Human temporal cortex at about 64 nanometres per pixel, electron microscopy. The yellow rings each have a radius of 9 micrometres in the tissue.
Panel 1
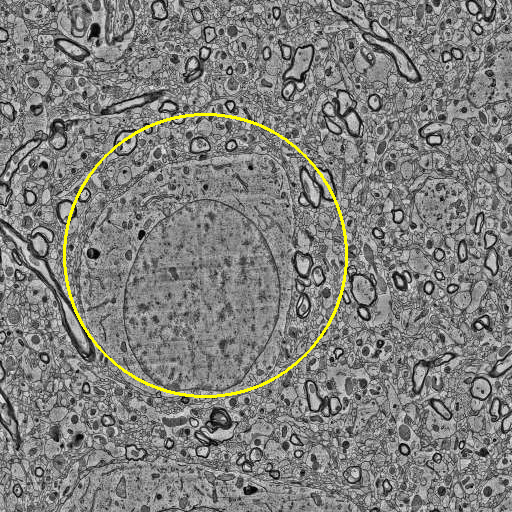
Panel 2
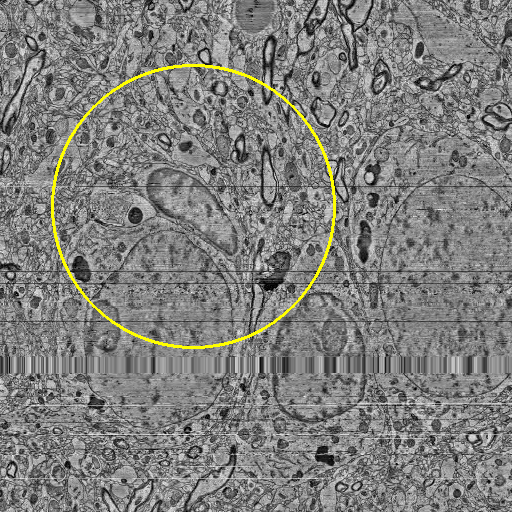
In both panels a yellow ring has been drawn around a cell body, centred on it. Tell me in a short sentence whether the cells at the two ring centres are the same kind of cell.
No, they are two kinds of cell.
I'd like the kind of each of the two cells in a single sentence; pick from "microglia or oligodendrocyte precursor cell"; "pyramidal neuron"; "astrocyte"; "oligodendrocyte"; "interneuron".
The first ring marks a pyramidal neuron, and the second ring marks an oligodendrocyte.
